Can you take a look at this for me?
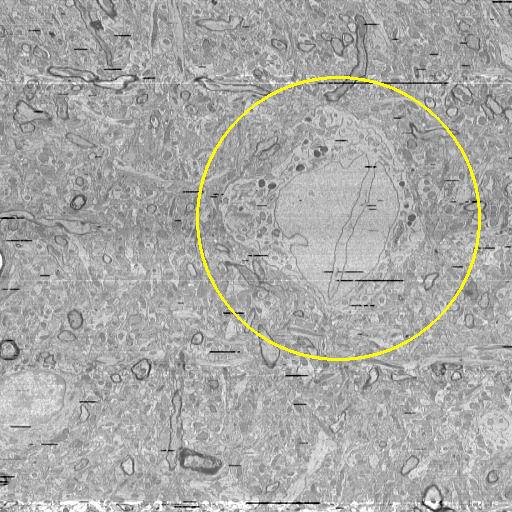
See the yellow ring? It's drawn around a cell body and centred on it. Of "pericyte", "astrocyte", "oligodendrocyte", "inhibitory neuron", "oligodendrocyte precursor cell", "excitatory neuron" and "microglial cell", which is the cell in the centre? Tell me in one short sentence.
The one in the centre is an inhibitory neuron.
